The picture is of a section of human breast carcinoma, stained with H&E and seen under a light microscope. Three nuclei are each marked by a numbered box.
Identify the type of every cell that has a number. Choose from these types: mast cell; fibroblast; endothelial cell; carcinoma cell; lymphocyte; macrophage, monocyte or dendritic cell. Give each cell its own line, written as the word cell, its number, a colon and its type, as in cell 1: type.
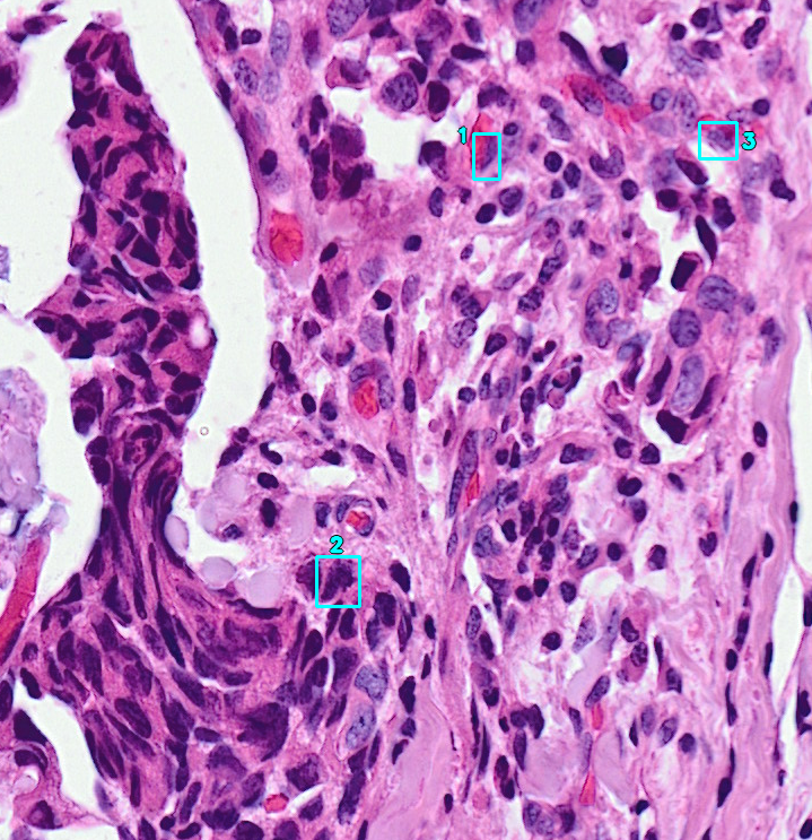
cell 1: endothelial cell
cell 2: carcinoma cell
cell 3: endothelial cell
